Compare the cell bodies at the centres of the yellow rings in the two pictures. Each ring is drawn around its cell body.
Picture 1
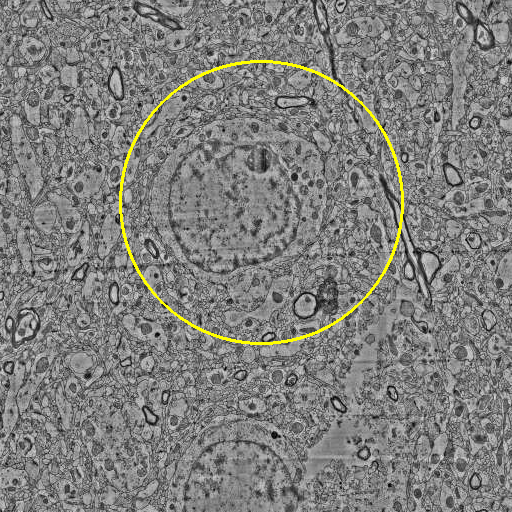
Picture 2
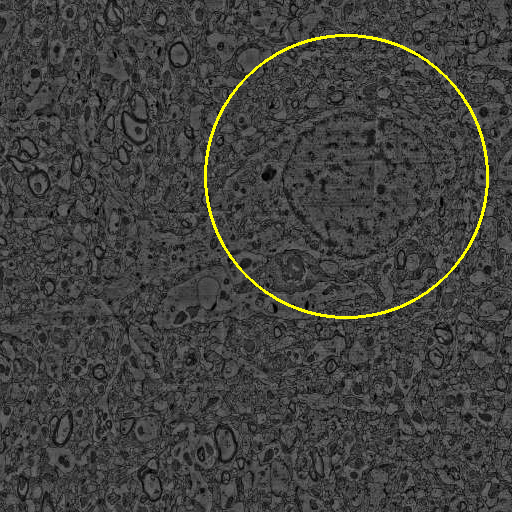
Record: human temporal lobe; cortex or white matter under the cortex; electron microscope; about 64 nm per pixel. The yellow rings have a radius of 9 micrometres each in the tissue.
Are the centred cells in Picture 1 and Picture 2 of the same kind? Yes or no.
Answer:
yes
